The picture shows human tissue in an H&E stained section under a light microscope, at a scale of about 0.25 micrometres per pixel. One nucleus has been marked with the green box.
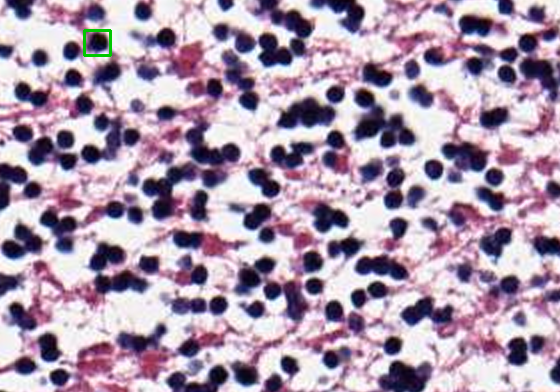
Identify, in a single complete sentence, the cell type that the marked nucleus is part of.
Here the marked nucleus is part of a cerebellar granule cell.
